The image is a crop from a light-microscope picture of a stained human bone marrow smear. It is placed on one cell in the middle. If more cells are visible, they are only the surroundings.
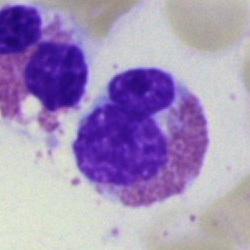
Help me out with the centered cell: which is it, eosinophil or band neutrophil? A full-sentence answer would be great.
Of the cells in this crop, the central one is an eosinophil.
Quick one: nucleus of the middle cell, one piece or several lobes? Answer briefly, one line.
Look at the nucleus and you will find it divided into two or more lobes.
